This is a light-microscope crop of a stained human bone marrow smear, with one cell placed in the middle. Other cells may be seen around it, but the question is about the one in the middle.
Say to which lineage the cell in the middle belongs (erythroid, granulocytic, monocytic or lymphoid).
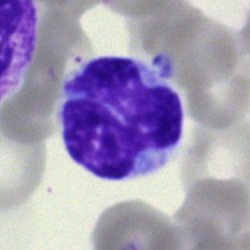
monocytic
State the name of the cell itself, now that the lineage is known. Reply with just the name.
monocyte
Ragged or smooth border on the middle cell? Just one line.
Seen at its edge, the cell is not smooth but ragged or projecting.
